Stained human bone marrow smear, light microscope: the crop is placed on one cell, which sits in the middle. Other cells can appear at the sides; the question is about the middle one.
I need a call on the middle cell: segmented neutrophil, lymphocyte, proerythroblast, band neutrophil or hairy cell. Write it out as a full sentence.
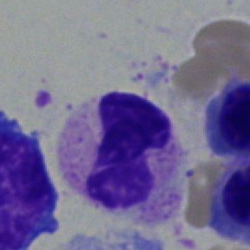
The crop centres on a single cell, and that cell is a band neutrophil.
